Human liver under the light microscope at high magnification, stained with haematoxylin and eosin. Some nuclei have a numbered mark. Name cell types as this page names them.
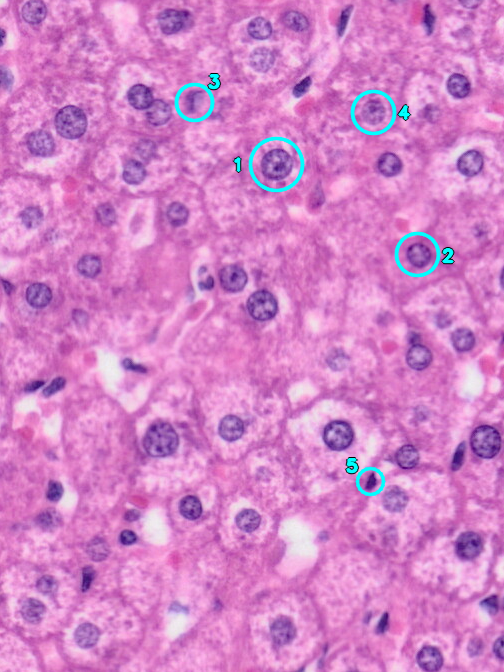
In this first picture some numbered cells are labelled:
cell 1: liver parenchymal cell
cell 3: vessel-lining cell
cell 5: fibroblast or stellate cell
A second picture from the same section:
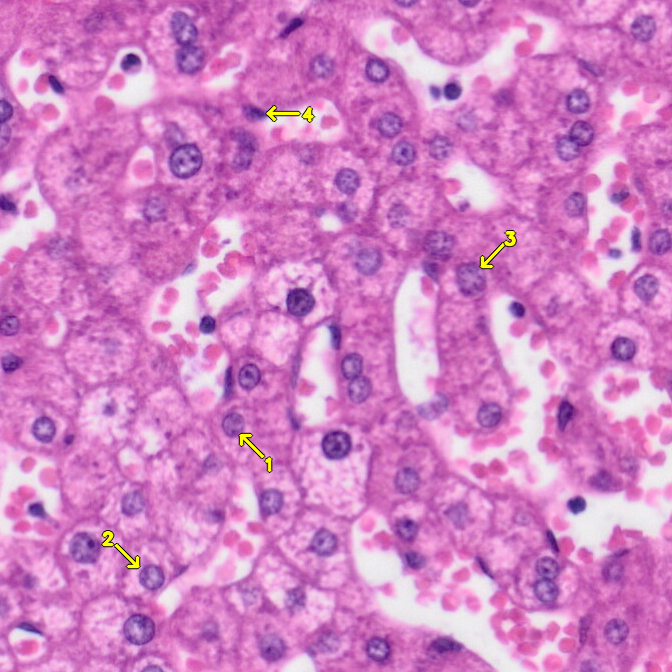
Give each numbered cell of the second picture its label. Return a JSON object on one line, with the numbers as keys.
{"1": "liver parenchymal cell", "2": "liver parenchymal cell", "3": "liver parenchymal cell", "4": "fibroblast or stellate cell"}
